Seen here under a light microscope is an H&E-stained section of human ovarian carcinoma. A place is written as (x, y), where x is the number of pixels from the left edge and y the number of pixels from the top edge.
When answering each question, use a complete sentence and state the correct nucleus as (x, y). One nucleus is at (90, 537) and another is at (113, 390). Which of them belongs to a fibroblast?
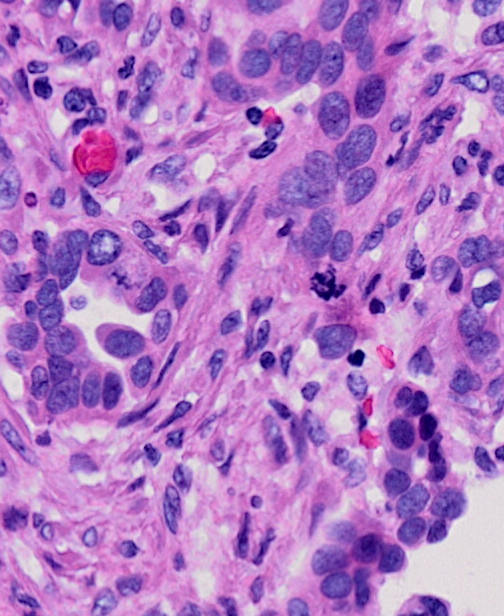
The nucleus of a fibroblast lies at (90, 537), not at the other position.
